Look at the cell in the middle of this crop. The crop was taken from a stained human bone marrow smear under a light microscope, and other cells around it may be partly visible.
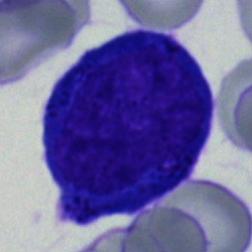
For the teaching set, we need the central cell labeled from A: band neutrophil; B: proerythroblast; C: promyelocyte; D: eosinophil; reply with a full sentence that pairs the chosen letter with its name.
The cell in the middle is correctly identified as a proerythroblast in option B.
